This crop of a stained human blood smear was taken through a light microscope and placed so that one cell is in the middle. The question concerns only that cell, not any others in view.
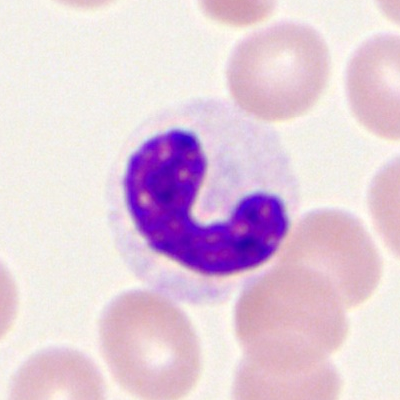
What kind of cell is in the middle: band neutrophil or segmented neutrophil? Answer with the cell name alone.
band neutrophil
